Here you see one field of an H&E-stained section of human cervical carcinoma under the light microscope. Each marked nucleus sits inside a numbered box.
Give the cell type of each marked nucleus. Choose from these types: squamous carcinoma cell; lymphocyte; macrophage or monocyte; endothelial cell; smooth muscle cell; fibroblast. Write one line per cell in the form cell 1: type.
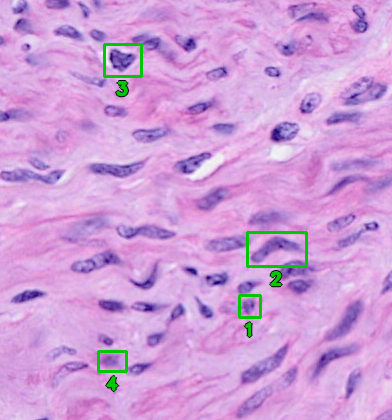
cell 1: smooth muscle cell
cell 2: smooth muscle cell
cell 3: lymphocyte
cell 4: smooth muscle cell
